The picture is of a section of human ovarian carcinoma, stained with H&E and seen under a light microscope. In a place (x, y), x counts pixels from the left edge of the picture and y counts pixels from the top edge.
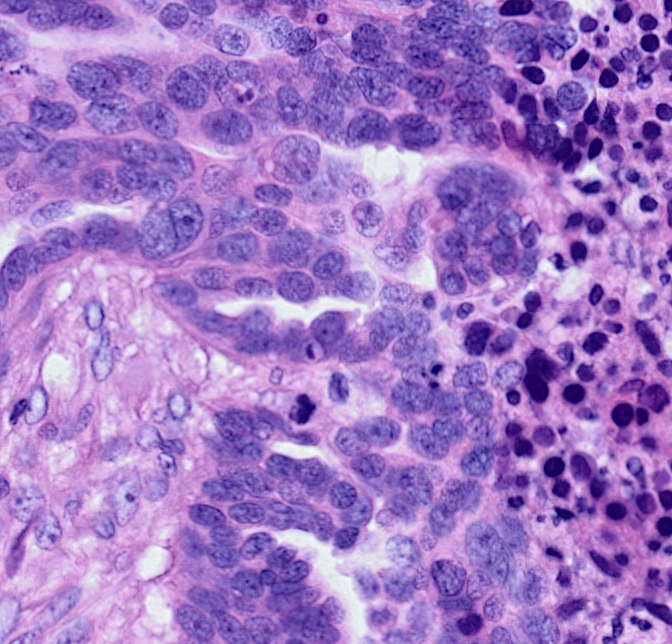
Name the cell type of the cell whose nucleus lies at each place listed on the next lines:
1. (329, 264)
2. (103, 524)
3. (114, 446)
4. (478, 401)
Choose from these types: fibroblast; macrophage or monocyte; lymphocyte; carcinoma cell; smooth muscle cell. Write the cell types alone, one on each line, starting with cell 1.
carcinoma cell
fibroblast
fibroblast
carcinoma cell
